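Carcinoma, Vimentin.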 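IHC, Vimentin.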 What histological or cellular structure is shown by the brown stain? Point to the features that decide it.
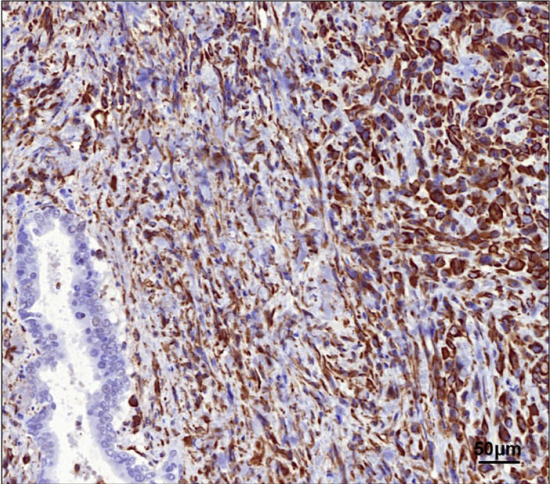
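Sheets of spindle and polygonal cells without glandular arrangement are diffusely brown. A gland at the lower left is lined by unstained cells. So: undifferentiated component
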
